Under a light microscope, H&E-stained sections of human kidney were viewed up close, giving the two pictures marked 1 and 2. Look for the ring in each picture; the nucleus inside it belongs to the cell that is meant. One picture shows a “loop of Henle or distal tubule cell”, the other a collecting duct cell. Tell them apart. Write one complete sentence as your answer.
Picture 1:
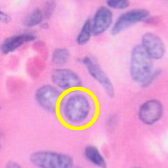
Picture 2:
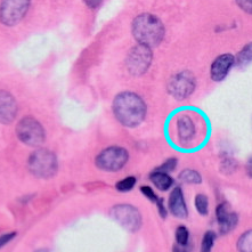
Picture 1 shows a collecting duct cell and picture 2 shows a “loop of Henle or distal tubule cell”.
